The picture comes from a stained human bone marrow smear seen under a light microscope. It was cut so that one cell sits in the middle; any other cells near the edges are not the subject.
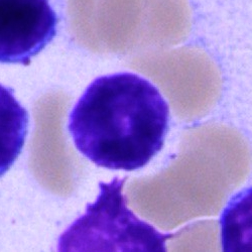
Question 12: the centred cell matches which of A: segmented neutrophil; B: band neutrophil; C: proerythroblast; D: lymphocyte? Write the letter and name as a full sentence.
The central cell of the crop is a lymphocyte, which makes D the correct option.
